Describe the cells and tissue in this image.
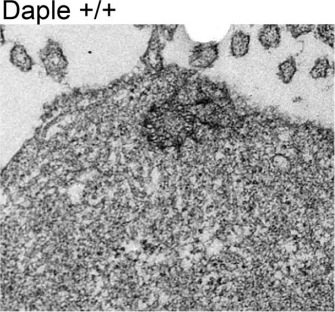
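The apical part of a hair cell is seen, with round cross-sections of stereocilia lying above its surface. Just below the apical membrane sits a dark, fibrous cylindrical structure, the basal body.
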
